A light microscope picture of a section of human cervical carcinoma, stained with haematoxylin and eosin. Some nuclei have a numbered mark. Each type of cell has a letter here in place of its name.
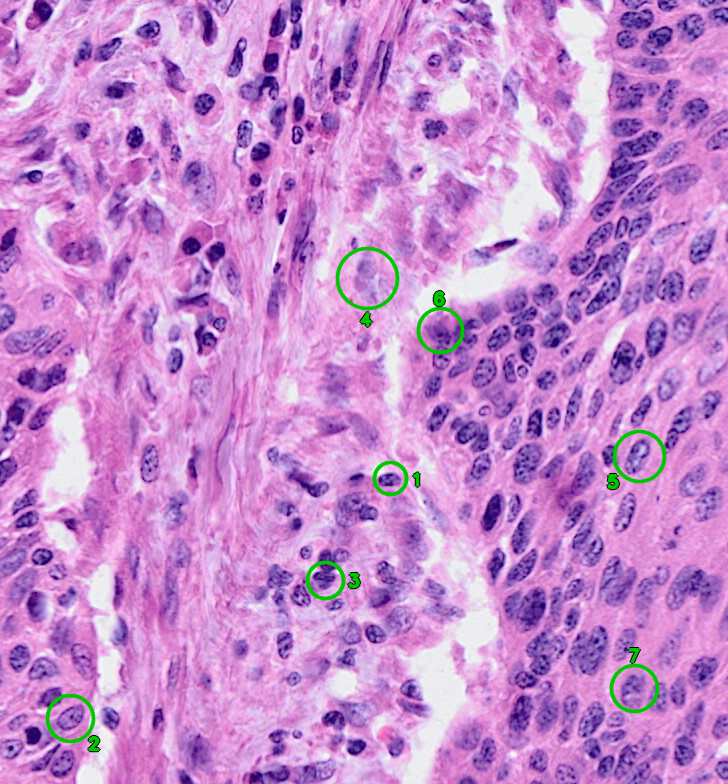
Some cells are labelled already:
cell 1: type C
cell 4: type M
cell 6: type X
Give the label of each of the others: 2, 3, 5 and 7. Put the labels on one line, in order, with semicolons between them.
type X; type C; type X; type X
